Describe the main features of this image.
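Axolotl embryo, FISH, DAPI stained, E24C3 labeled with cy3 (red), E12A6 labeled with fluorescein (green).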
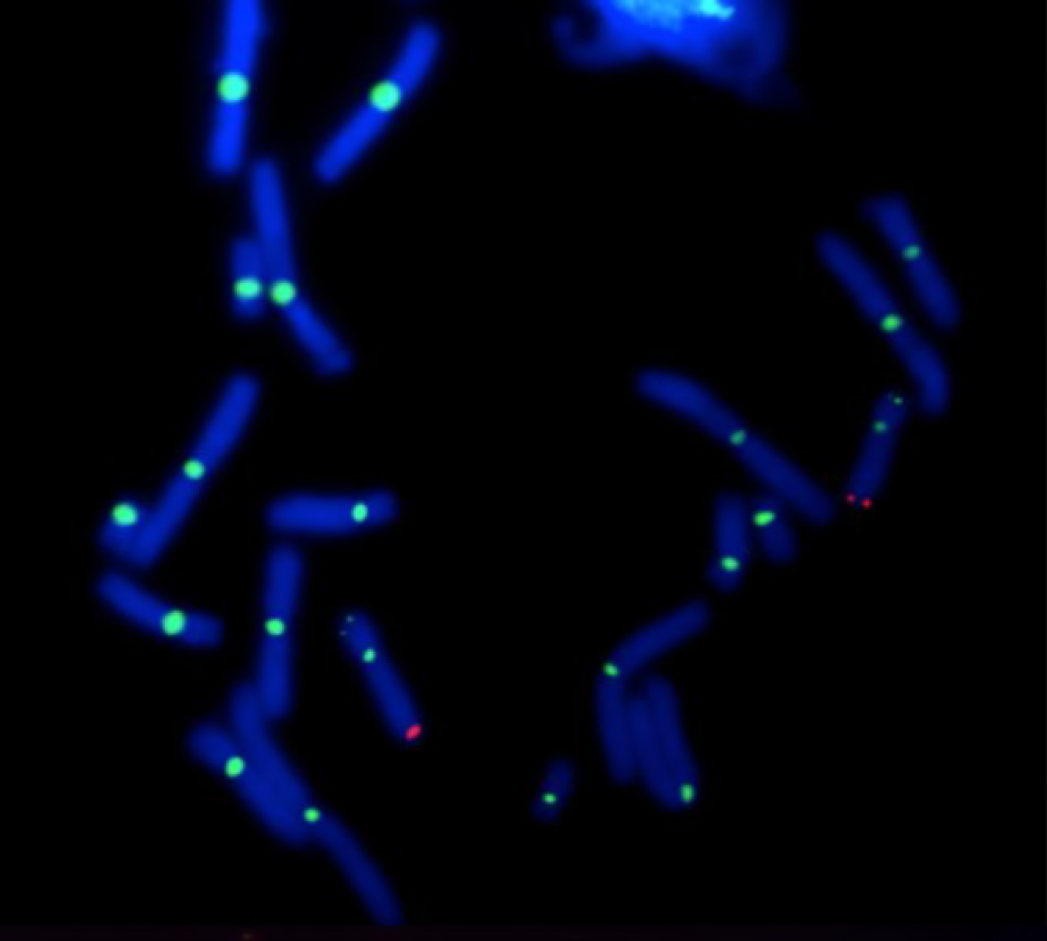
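This is a spread of condensed chromosomes from a dividing cell, stained blue, each chromosome a separate rod-shaped body; many lie apart while a few cross or overlap. Small bright green dots sit along most of the chromosomes, and tiny red dots lie at the ends of two of them.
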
